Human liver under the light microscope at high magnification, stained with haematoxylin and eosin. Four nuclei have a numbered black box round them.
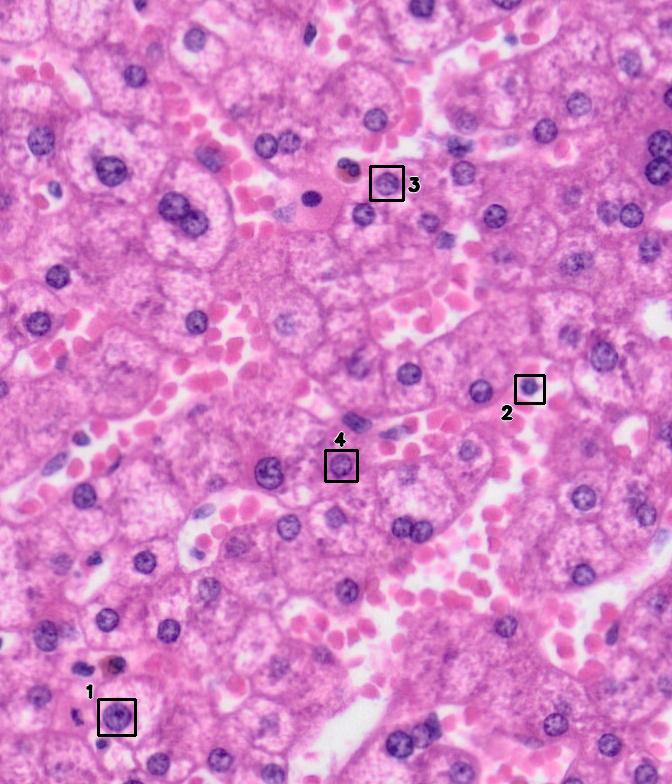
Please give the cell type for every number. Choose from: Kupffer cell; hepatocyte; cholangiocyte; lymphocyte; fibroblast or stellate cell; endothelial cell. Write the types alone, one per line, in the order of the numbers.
hepatocyte
lymphocyte
hepatocyte
hepatocyte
